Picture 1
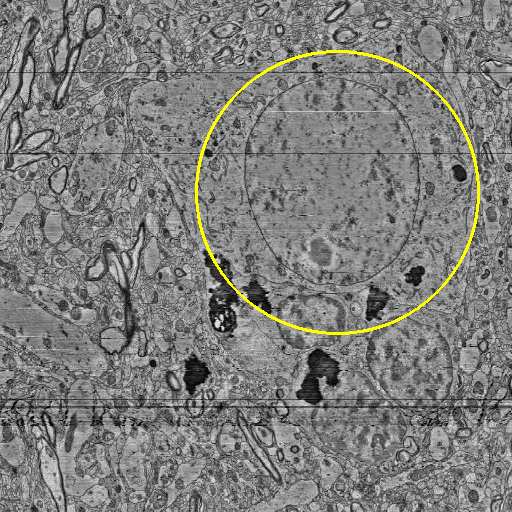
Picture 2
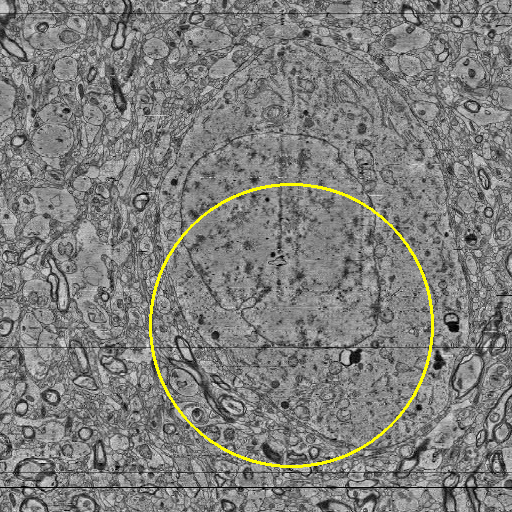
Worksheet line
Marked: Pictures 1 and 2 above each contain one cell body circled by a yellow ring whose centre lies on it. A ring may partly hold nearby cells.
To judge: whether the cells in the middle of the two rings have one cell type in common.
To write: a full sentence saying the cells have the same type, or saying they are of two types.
The cells in the middle of the rings in Picture 1 and Picture 2 have the same type.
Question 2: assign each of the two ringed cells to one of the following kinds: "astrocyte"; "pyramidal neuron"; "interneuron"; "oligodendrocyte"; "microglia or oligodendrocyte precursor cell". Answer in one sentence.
Both pictures show a pyramidal neuron at the centre of the ring.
